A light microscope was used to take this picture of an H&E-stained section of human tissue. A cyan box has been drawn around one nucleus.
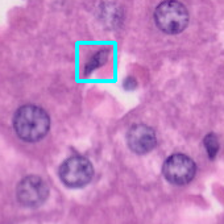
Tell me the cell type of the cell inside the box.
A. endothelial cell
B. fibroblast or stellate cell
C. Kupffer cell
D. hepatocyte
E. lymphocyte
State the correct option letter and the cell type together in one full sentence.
Hey, it is option A: the cell inside the box is an endothelial cell.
